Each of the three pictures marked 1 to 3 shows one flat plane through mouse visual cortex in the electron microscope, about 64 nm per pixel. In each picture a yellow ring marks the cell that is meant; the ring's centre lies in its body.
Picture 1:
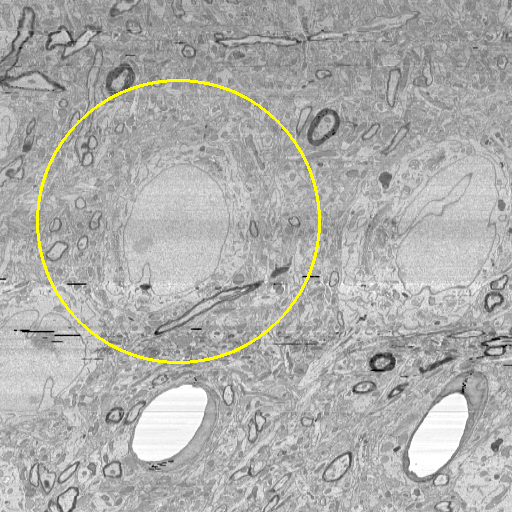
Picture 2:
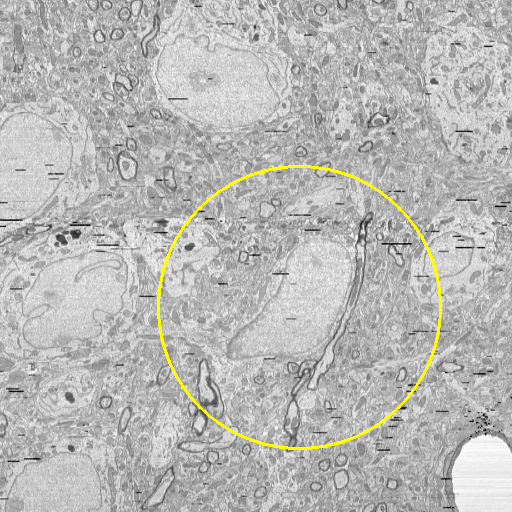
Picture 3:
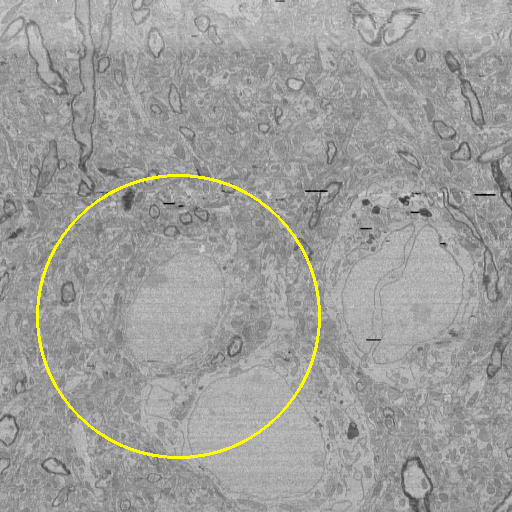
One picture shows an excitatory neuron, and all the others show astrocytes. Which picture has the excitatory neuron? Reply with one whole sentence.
Picture 1 shows the excitatory neuron.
